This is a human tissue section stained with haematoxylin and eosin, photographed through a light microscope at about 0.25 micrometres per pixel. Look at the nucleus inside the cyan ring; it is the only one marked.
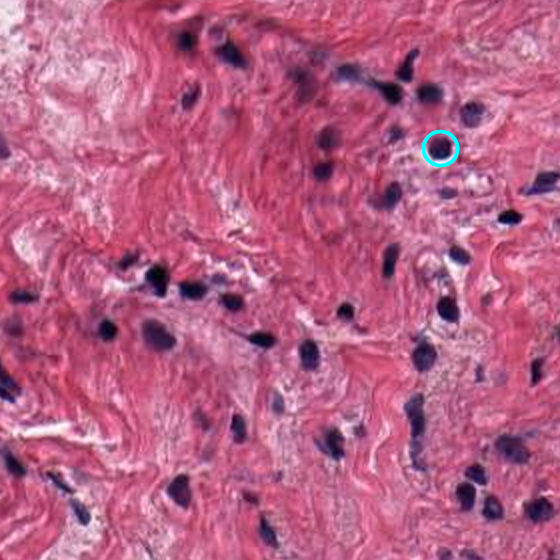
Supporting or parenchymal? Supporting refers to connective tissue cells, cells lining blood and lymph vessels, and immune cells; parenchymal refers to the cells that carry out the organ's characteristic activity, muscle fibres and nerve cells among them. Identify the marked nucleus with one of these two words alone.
supporting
